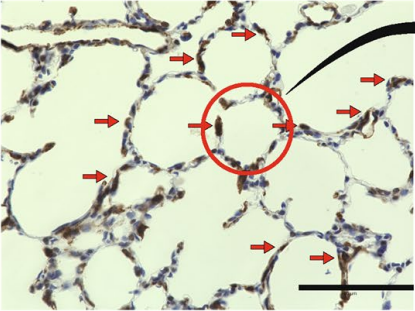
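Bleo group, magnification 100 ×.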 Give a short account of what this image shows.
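The air spaces are large, rounded and empty, separated by delicate septa one or two cells thick. Within these septa, elongated, spindle-shaped brown-stained cells lie along the walls, often at junctions where septa meet; some are plump, others thin and stretched along the wall. The septa are not markedly thickened, and no dense scarring fills the air spaces.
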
